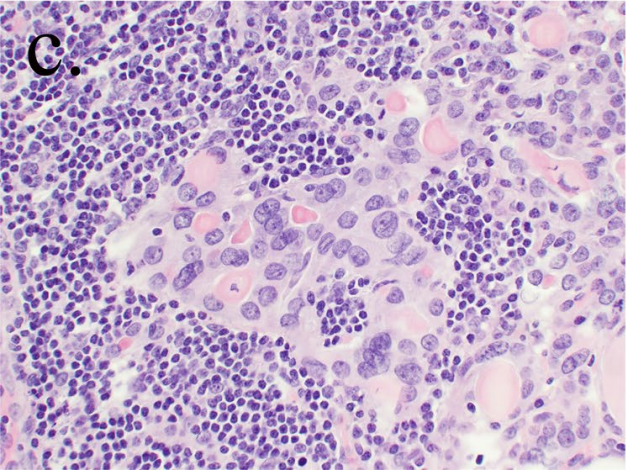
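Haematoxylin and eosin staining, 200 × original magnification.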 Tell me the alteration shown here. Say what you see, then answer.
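Epithelial cells in irregular groups have abundant pink granular cytoplasm. They lie among small dark lymphocytes.
Hence: oncocytic cytoplasmatic change.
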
